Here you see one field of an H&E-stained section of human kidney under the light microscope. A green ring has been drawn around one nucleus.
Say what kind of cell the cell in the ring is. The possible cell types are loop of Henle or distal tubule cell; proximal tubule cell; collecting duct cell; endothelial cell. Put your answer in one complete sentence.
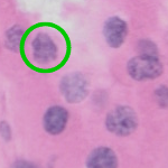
In this tissue section, the cell in the ring is to be classed as a loop of Henle or distal tubule cell.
